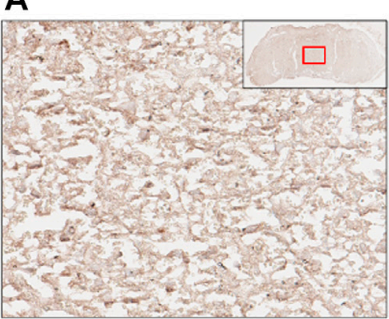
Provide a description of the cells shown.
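This is a section through the placental labyrinth, seen as a dense spongy meshwork of tissue. Thin, interconnected strands of tissue form an irregular lattice around many small, elongated clear spaces. The strands are evenly stained light to medium brown throughout the field, with a few darker brown points scattered among them. The inset shows the whole placental section at low power, with the sampled area in its central part.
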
